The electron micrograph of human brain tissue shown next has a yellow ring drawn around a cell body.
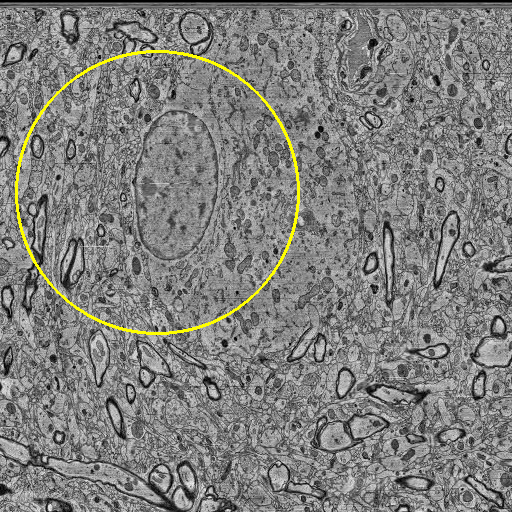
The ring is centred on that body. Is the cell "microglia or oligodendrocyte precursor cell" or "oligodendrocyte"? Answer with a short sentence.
The cell in question is a microglial cell or oligodendrocyte precursor cell.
